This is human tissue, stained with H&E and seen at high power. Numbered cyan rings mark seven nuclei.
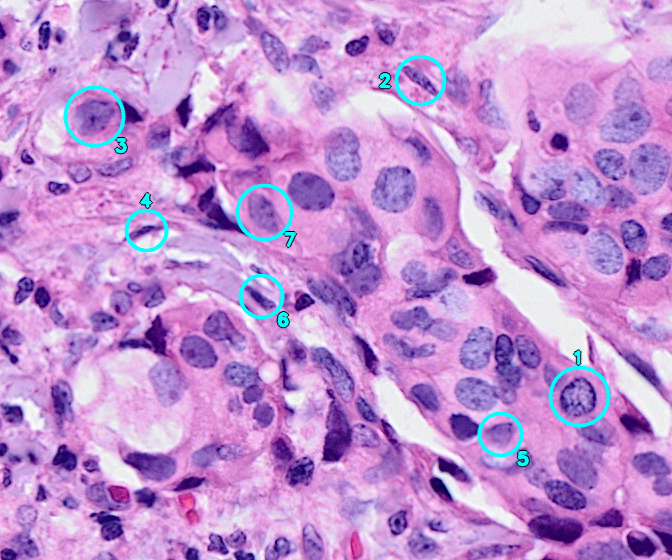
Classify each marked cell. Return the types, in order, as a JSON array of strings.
["carcinoma cell", "fibroblast", "carcinoma cell", "fibroblast", "carcinoma cell", "fibroblast", "carcinoma cell"]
